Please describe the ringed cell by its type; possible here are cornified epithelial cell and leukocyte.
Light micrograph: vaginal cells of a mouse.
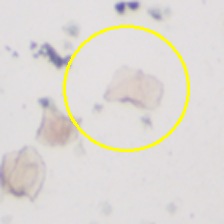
The yellow ring marks a cornified epithelial cell.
